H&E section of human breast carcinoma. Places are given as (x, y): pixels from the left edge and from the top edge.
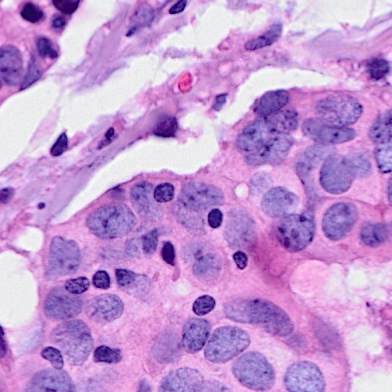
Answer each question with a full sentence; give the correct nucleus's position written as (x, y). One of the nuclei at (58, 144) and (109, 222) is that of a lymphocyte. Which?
The correct choice is the nucleus at (58, 144), which belongs to a lymphocyte.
